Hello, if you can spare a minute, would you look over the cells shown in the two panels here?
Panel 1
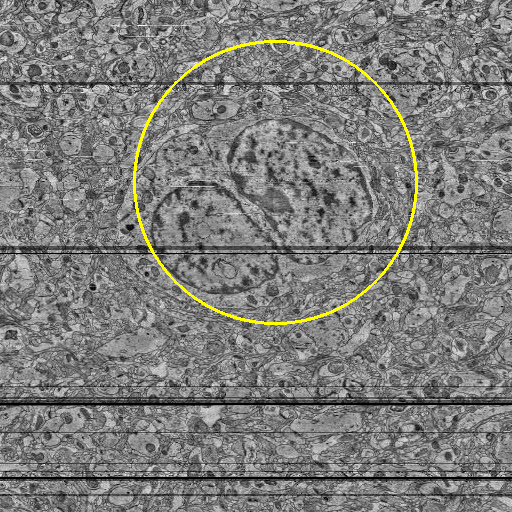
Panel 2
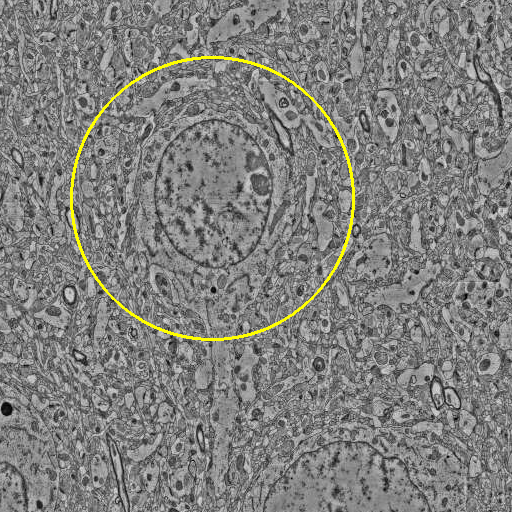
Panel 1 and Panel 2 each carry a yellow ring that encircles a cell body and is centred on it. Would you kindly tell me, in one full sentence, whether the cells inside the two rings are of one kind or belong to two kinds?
The cells at the centres of the rings in Panel 1 and Panel 2 belong to two kinds.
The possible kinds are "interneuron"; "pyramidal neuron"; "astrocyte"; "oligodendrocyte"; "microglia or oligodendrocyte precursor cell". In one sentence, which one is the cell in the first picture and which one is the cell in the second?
The cell ringed in the second picture is a pyramidal neuron, whereas the one ringed in the first is a microglial cell or oligodendrocyte precursor cell.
